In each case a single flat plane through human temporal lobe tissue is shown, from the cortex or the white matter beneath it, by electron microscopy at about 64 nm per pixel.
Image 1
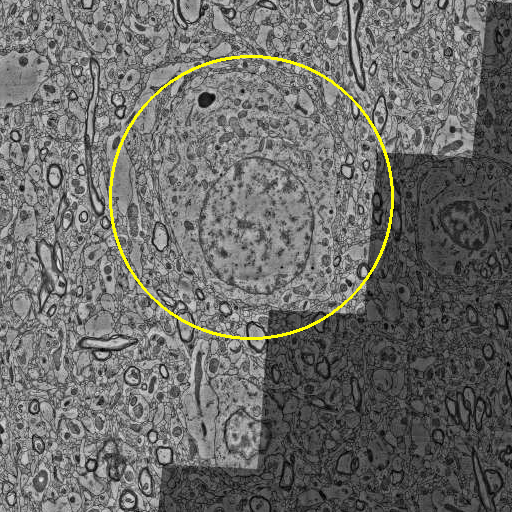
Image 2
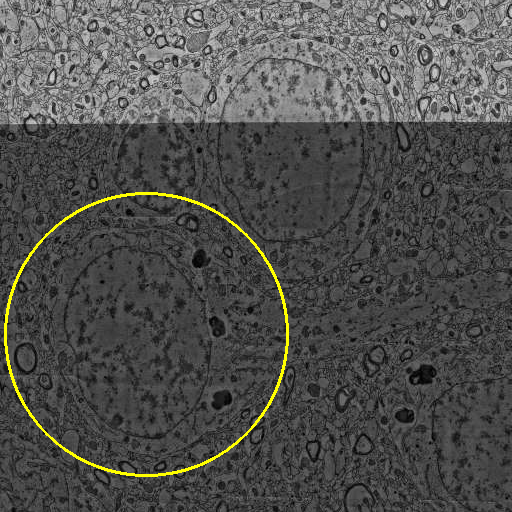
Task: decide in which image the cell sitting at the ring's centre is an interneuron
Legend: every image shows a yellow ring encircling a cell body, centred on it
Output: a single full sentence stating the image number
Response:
In image 1, the cell at the middle of the ring is the match.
